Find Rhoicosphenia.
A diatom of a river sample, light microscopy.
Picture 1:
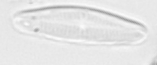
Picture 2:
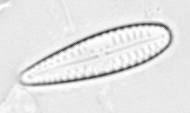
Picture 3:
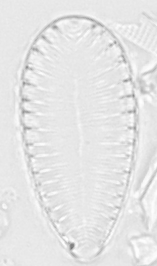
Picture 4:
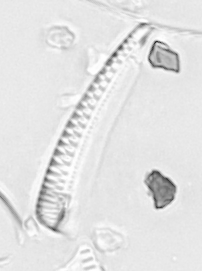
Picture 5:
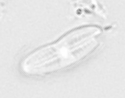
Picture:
4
